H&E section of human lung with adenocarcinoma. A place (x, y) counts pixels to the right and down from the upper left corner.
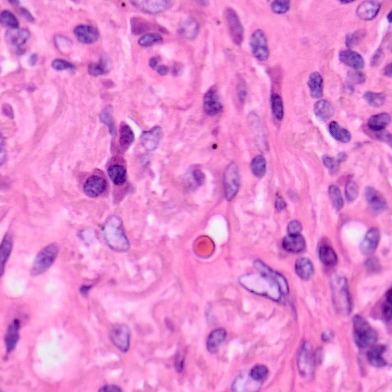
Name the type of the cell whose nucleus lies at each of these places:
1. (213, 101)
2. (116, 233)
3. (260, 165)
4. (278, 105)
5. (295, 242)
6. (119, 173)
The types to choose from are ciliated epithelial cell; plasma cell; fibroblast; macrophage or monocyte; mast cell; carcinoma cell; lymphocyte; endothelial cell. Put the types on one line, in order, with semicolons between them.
plasma cell; fibroblast; lymphocyte; plasma cell; plasma cell; plasma cell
